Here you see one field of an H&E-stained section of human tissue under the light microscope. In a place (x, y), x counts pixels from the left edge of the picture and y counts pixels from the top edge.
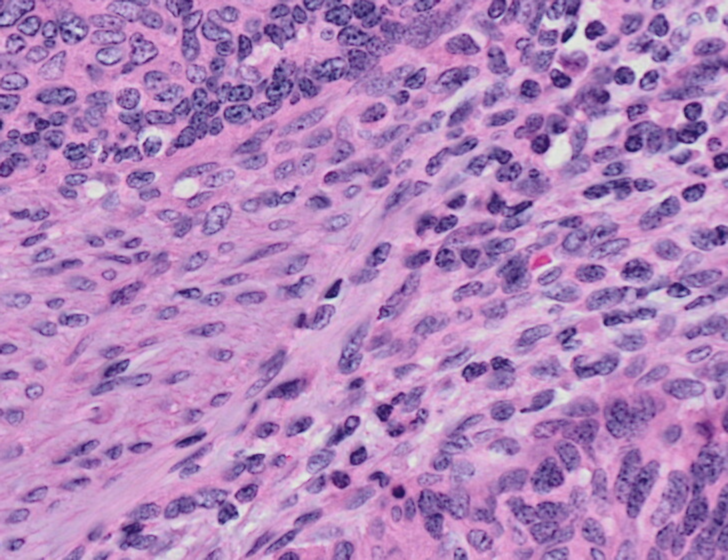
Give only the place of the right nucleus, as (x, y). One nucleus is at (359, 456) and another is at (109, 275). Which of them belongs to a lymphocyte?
(359, 456)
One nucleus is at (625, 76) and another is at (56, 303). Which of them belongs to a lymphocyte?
(625, 76)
